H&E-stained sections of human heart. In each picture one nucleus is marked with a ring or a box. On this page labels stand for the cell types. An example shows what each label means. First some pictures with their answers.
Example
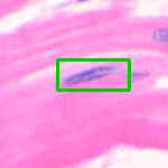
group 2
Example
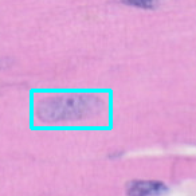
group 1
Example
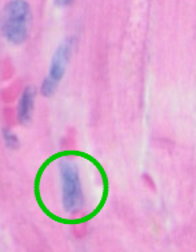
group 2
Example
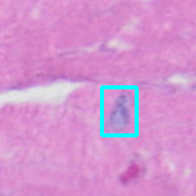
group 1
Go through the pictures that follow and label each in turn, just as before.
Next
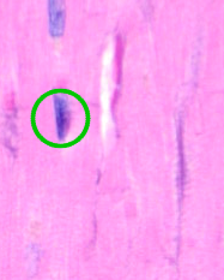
group 2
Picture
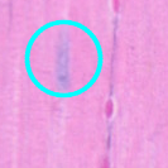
group 1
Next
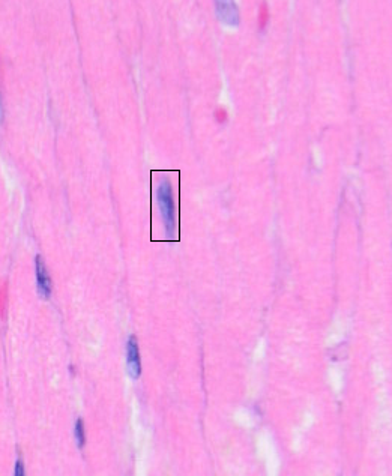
group 2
